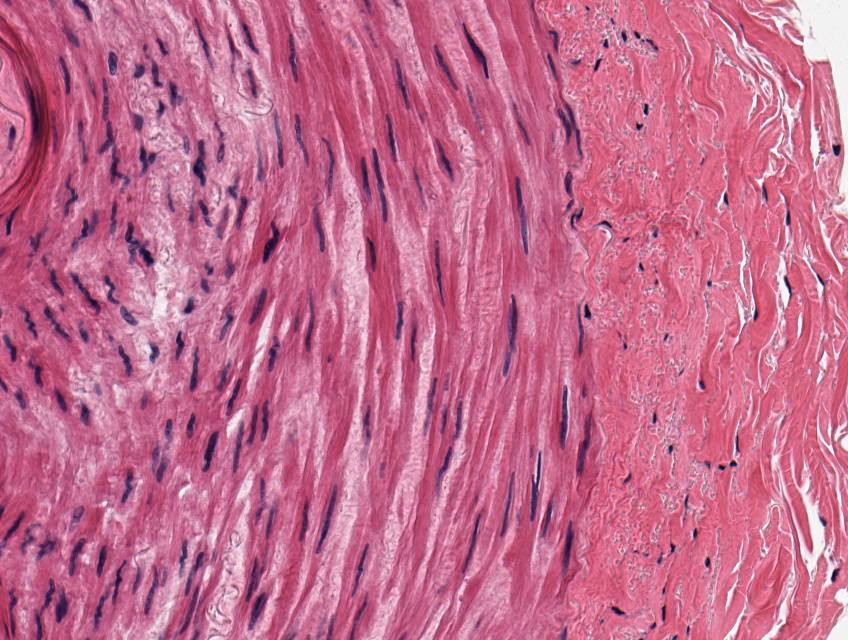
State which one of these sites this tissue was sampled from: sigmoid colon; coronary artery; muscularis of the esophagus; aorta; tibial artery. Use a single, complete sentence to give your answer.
The specimen in this section was collected from the tibial artery.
